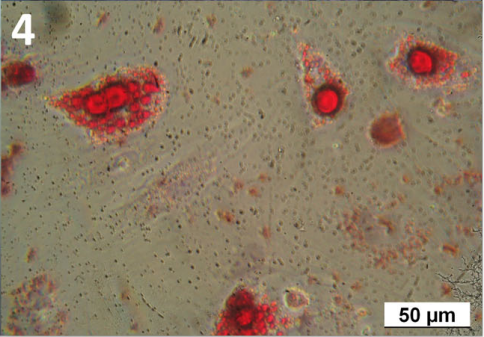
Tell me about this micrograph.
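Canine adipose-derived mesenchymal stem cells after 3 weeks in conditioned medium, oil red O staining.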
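Within single cells the droplets vary in size, with one or a few large round droplets among many smaller ones. These red-filled cells stand apart from one another on a pale background of flattened, unstained cells, with scattered small red granules between them.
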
